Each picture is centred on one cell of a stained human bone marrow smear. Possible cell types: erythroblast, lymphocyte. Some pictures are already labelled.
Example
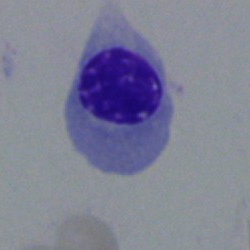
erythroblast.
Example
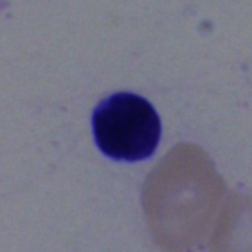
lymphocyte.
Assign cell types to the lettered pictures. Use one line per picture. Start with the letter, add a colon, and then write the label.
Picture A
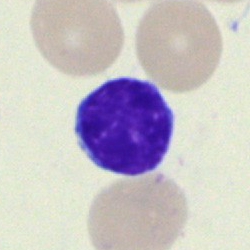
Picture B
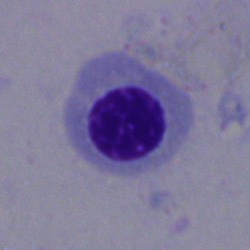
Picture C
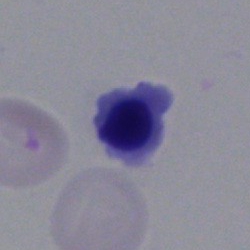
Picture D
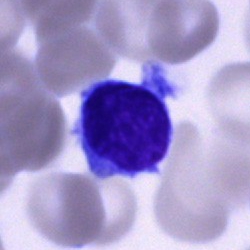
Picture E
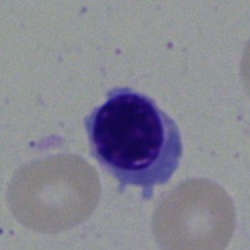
A: lymphocyte.
B: erythroblast.
C: erythroblast.
D: lymphocyte.
E: erythroblast.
